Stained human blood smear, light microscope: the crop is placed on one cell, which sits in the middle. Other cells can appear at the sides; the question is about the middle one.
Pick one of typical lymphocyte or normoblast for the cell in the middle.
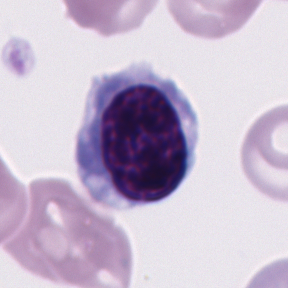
normoblast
